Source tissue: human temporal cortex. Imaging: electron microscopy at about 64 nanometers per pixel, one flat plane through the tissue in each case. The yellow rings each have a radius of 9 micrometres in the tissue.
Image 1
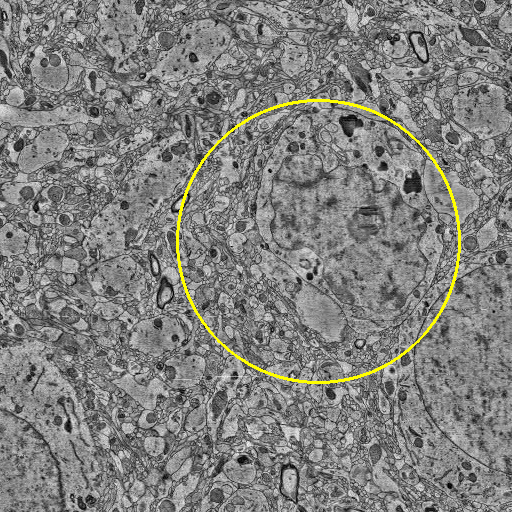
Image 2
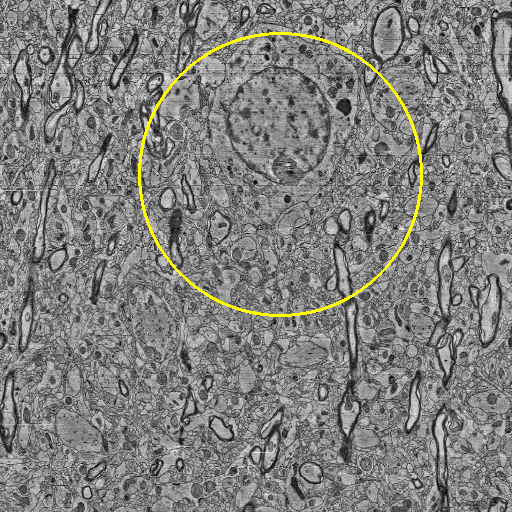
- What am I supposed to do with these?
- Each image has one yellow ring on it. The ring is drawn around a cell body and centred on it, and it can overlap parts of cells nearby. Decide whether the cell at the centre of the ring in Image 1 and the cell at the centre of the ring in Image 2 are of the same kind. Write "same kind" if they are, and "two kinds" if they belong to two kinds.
same kind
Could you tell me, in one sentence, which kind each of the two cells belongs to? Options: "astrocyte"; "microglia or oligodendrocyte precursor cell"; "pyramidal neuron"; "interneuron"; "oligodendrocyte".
Both pictures show an interneuron at the centre of the ring.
